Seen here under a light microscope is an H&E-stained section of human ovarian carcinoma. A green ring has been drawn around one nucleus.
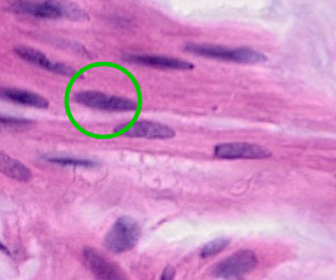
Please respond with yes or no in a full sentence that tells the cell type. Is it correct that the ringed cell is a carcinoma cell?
No, not a carcinoma cell: the ringed cell is a smooth muscle cell.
